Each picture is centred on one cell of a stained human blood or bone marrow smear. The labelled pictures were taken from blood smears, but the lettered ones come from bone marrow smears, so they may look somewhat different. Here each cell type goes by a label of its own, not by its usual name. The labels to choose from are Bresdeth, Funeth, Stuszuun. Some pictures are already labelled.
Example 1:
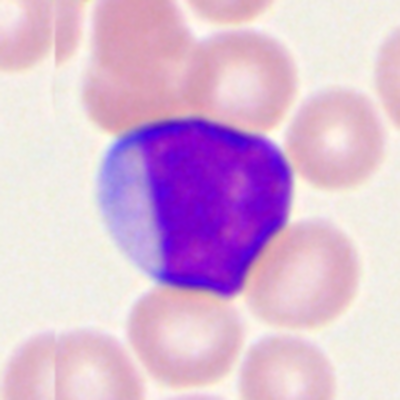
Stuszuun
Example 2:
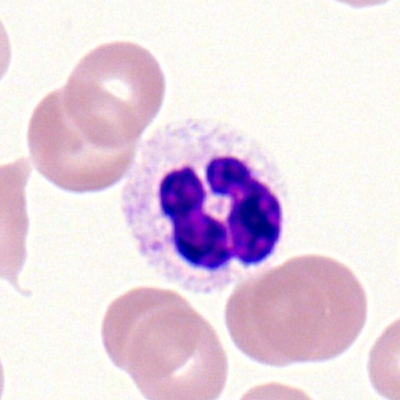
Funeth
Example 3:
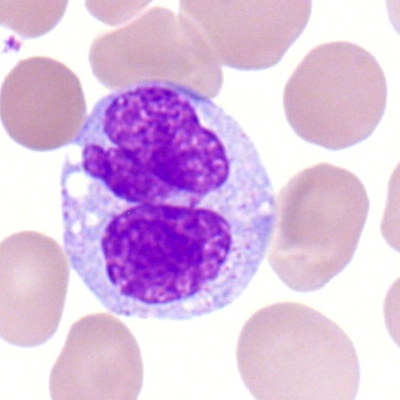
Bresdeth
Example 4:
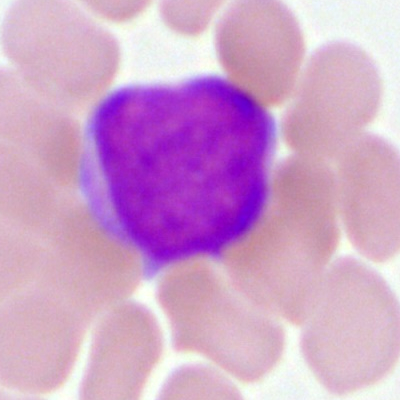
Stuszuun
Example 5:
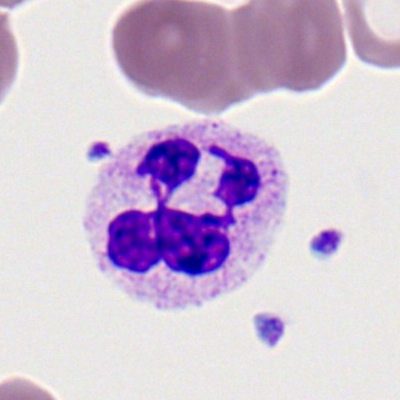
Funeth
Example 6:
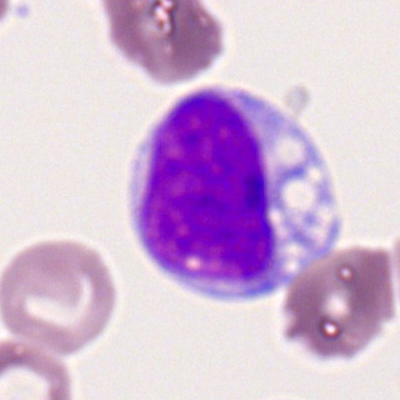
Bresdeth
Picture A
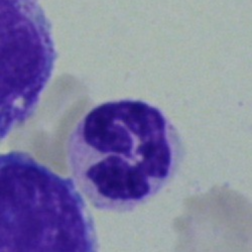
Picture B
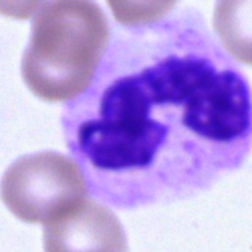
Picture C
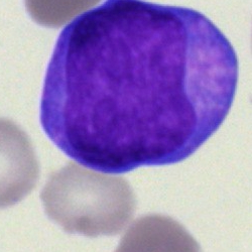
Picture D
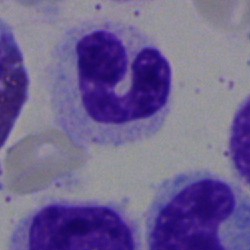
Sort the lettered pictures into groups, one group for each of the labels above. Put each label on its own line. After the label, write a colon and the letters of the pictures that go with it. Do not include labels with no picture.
Funeth: A, B, D
Stuszuun: C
